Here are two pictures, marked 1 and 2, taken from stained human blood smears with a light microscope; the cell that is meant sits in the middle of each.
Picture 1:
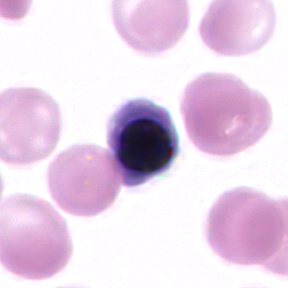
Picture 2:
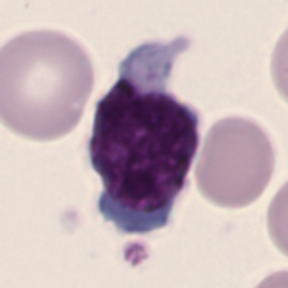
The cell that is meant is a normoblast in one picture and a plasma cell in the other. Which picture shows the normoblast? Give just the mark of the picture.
1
